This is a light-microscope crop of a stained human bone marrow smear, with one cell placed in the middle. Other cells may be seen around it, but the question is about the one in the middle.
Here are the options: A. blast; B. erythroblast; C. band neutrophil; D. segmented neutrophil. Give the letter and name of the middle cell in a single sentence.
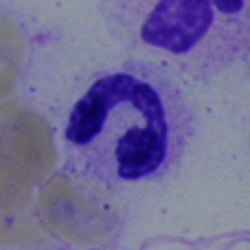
The cell at the heart of the crop is a band neutrophil, so choose option C.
